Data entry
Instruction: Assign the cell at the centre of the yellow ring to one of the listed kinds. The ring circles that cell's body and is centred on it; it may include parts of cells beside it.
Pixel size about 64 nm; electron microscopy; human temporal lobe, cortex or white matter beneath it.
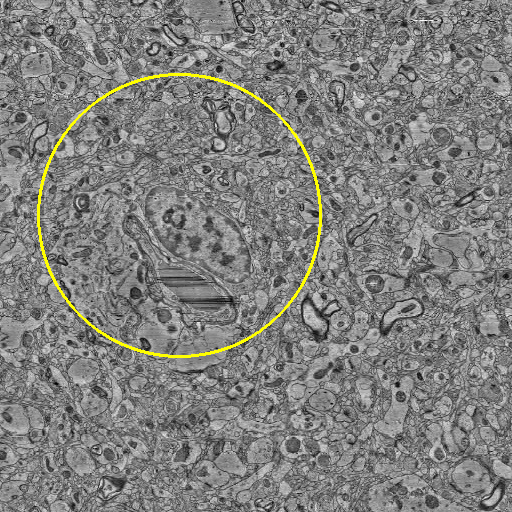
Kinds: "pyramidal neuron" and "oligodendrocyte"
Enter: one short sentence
The centre of the ring falls on an oligodendrocyte.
